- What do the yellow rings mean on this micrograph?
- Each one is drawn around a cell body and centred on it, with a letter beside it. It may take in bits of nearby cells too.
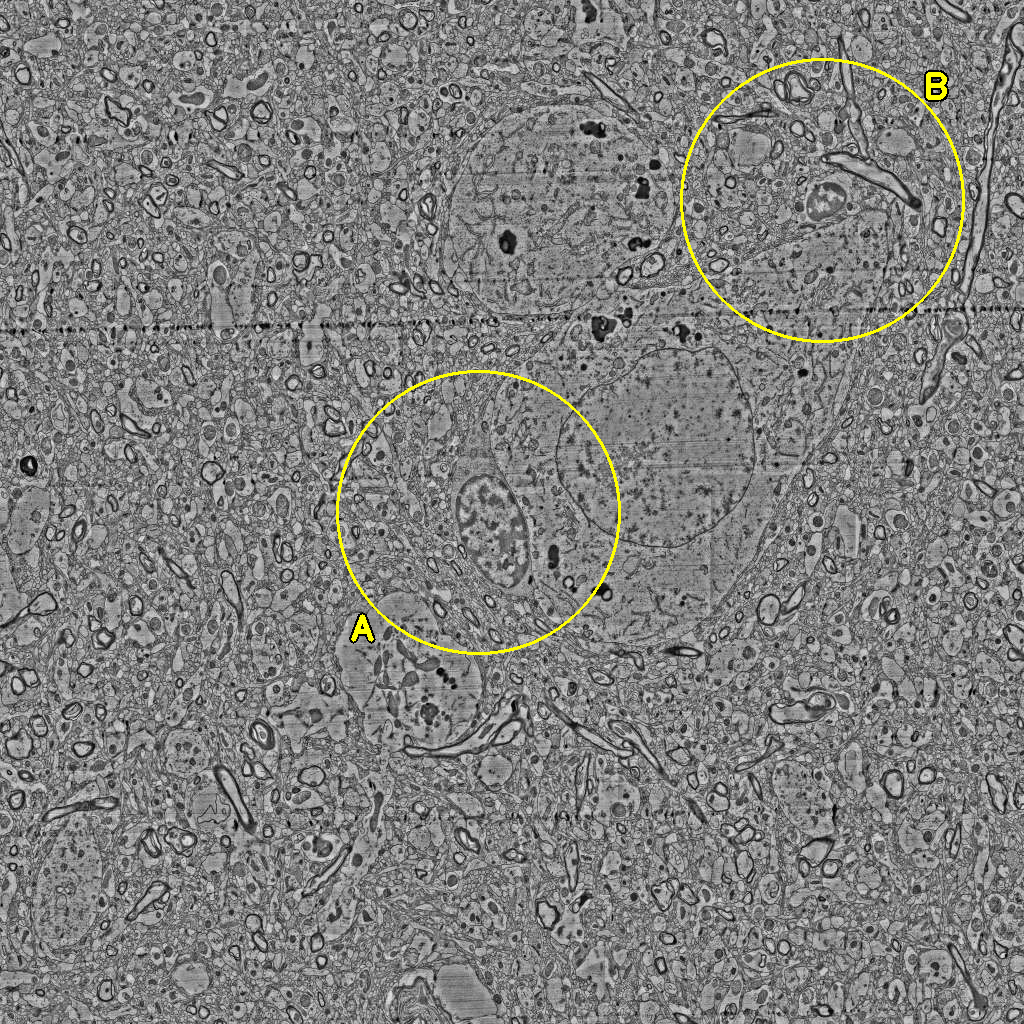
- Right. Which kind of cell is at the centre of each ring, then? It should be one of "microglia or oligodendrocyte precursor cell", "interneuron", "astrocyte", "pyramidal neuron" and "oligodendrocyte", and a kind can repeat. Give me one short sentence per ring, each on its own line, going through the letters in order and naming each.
Ring A circles the cell body of an oligodendrocyte.
Ring B circles the cell body of a microglial cell or oligodendrocyte precursor cell.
